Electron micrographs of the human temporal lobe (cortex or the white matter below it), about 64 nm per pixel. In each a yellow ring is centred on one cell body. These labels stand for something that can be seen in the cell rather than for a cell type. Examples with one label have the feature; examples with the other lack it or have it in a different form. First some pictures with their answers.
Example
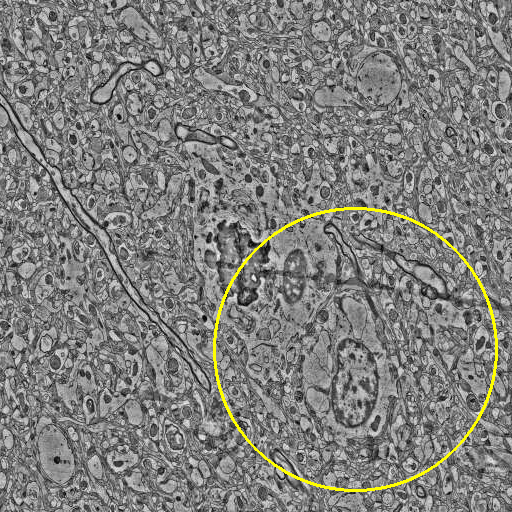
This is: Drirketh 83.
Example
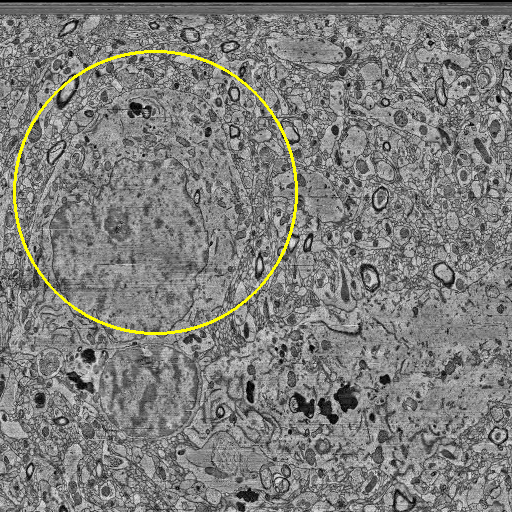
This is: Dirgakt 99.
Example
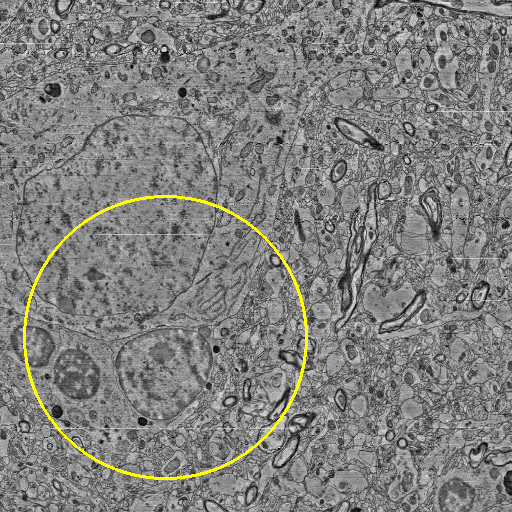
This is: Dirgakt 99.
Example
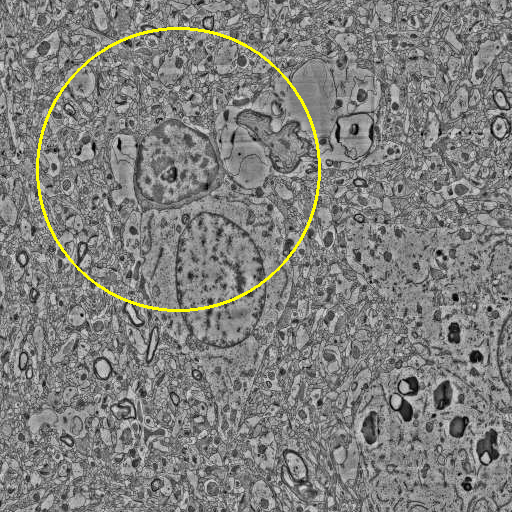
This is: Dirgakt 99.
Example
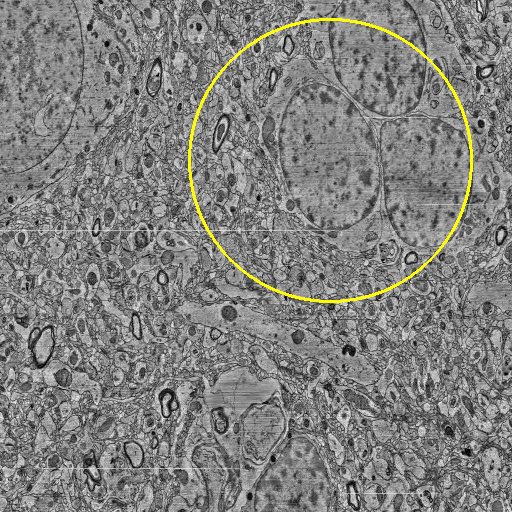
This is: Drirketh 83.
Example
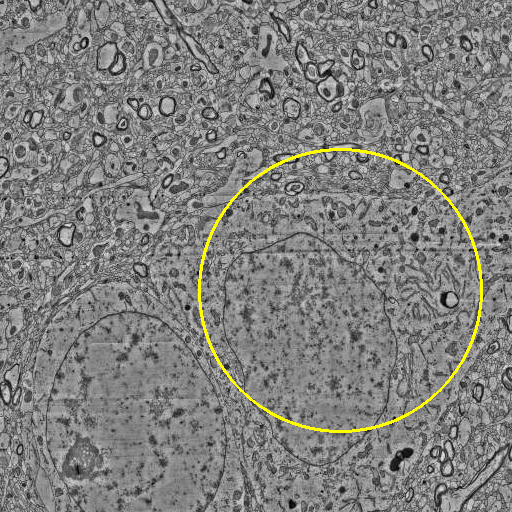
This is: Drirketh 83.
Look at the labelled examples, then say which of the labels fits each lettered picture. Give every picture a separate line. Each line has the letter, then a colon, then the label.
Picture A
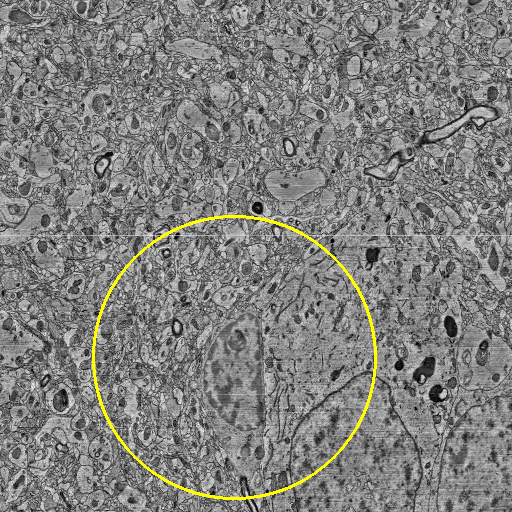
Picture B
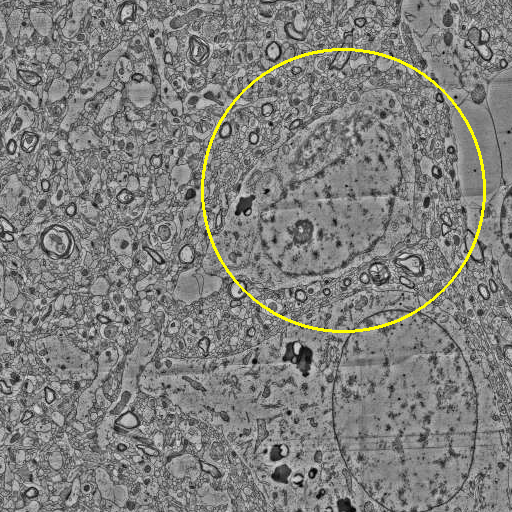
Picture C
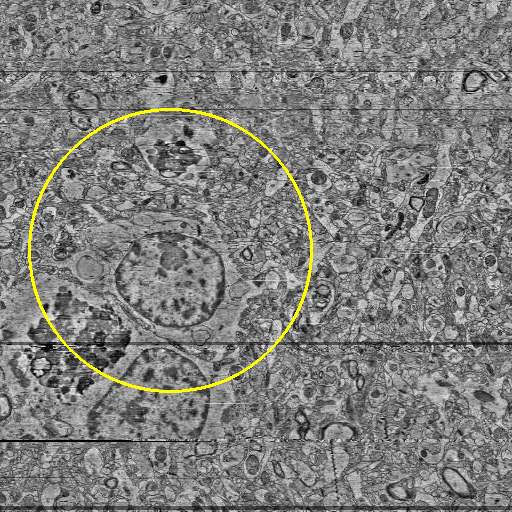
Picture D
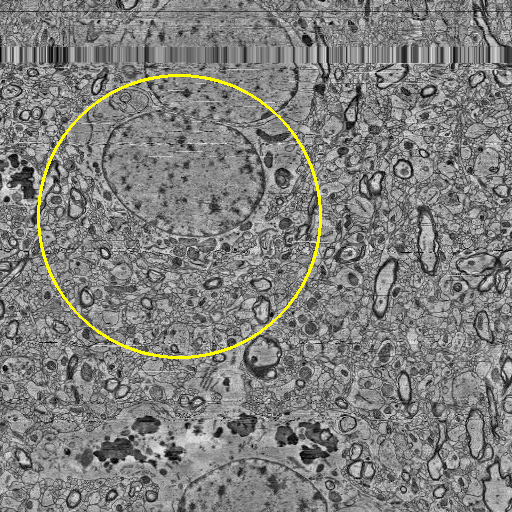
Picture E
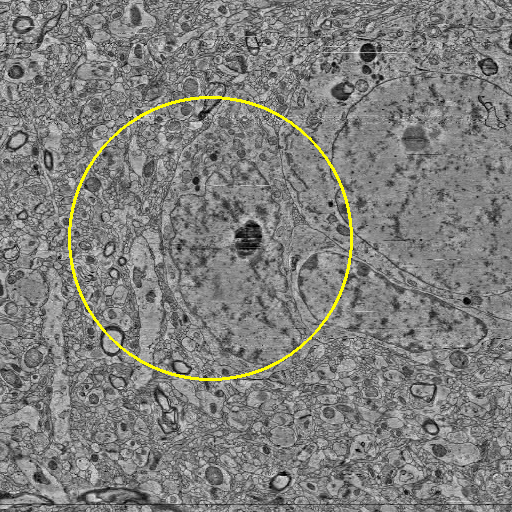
A: Dirgakt 99.
B: Dirgakt 99.
C: Dirgakt 99.
D: Drirketh 83.
E: Dirgakt 99.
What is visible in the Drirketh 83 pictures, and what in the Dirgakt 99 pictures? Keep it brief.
Drirketh 83, no nucleolus seen; Dirgakt 99, nucleolus seen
